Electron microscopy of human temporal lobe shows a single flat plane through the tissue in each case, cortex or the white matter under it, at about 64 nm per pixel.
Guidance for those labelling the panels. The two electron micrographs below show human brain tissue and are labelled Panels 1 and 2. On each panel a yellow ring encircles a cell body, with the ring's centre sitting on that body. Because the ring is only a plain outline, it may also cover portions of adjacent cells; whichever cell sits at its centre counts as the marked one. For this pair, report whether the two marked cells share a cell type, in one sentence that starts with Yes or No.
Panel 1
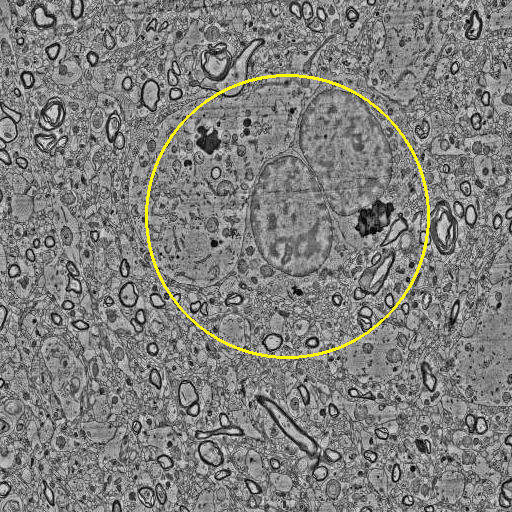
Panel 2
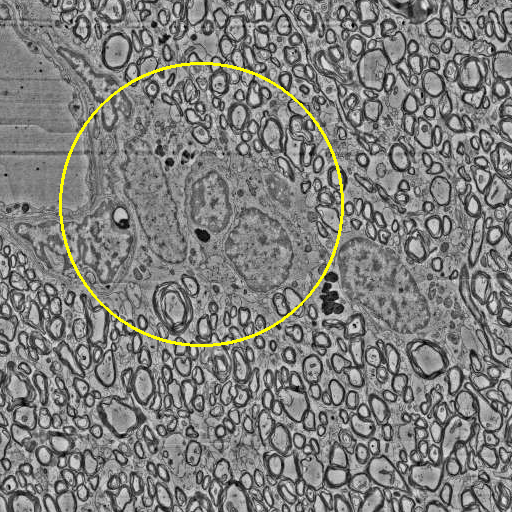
Yes, in Panel 1 and Panel 2 the marked cells at the ring centres share one type.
